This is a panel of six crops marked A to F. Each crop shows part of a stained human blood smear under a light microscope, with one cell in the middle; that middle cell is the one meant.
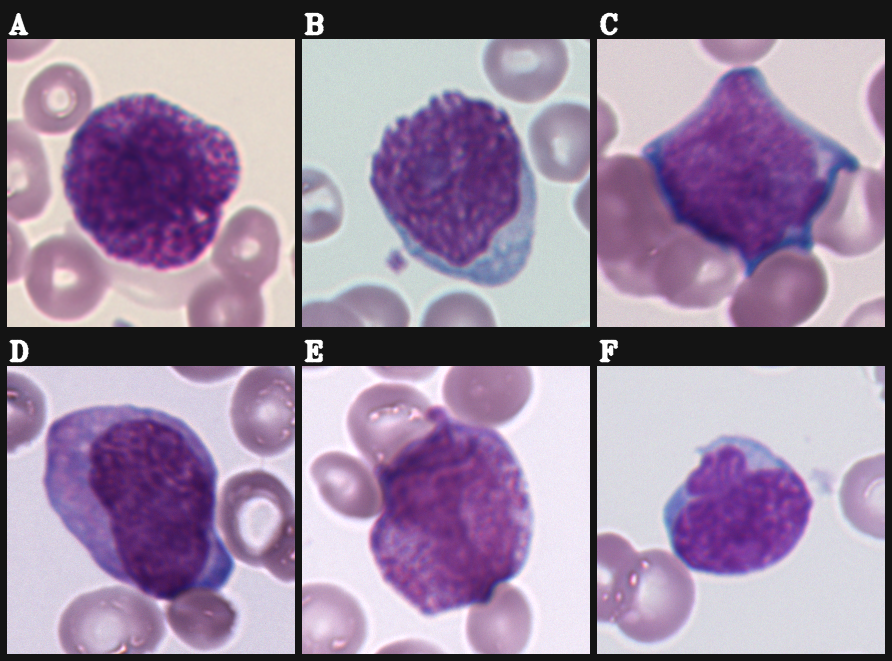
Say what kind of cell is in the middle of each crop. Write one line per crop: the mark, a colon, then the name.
A: atypical promyelocyte
B: myeloblast
C: myeloblast
D: atypical promyelocyte
E: atypical promyelocyte
F: myeloblast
